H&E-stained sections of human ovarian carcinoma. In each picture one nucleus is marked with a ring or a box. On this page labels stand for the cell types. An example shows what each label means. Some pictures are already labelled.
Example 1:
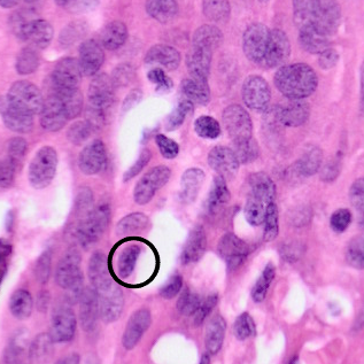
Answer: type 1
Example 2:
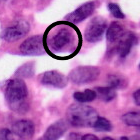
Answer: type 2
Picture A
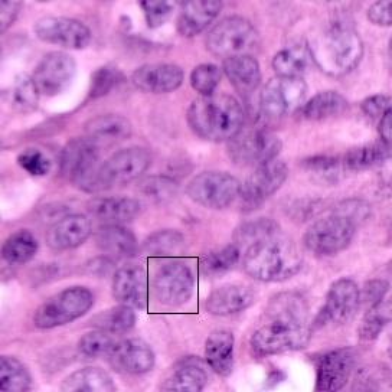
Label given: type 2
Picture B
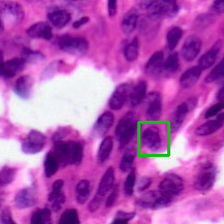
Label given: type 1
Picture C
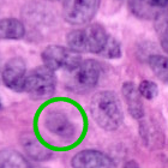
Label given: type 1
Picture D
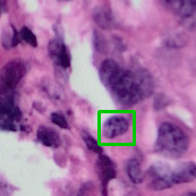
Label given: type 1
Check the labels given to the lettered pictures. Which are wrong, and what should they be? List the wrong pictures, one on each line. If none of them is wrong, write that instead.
Wrong: B (type 1); correct: type 2
Wrong: C (type 1); correct: type 2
